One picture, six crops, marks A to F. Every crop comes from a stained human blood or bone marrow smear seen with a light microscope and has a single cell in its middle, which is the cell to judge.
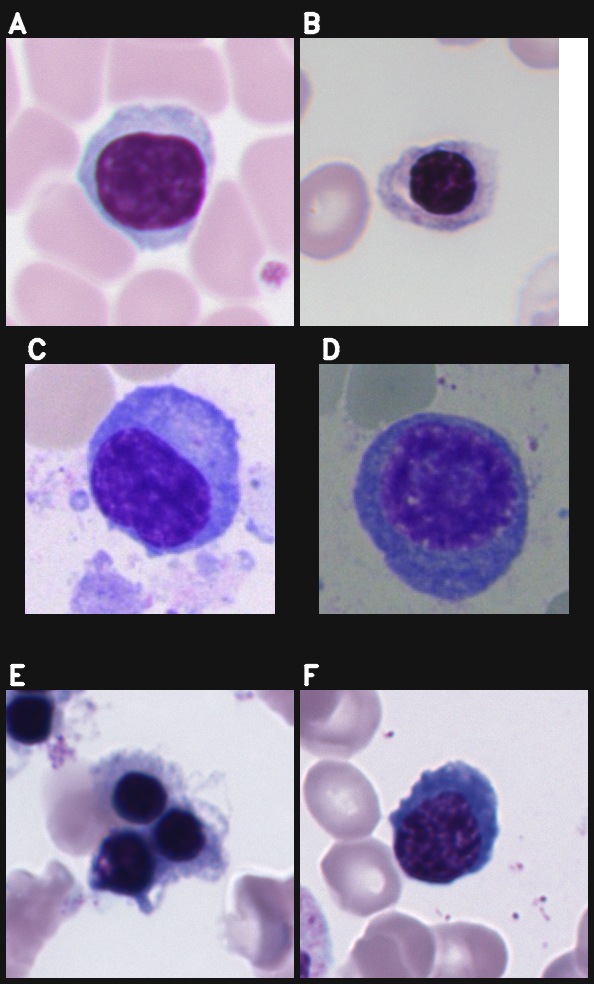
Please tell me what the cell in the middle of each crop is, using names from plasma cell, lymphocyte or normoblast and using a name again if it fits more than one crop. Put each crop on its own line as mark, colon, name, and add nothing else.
A: lymphocyte
B: normoblast
C: plasma cell
D: plasma cell
E: normoblast
F: normoblast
